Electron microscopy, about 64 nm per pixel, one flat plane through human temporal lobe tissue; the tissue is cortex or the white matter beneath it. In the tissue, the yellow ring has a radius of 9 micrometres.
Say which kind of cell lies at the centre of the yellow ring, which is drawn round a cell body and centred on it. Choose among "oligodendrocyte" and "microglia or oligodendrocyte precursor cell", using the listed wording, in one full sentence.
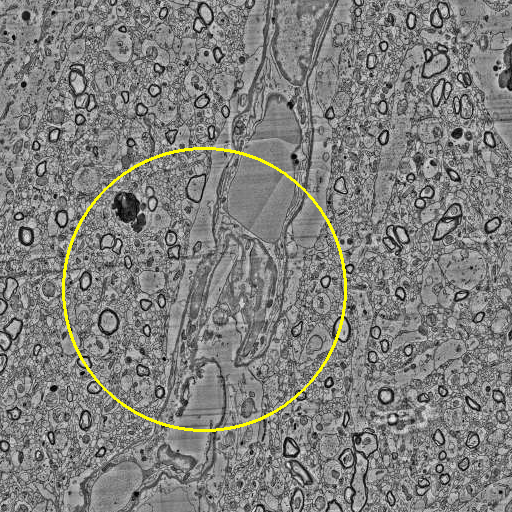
Going by the list, the cell at the yellow ring's centre is an oligodendrocyte.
